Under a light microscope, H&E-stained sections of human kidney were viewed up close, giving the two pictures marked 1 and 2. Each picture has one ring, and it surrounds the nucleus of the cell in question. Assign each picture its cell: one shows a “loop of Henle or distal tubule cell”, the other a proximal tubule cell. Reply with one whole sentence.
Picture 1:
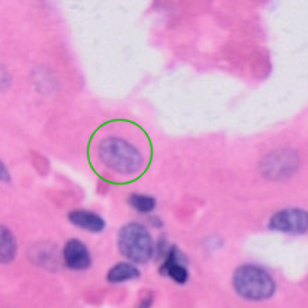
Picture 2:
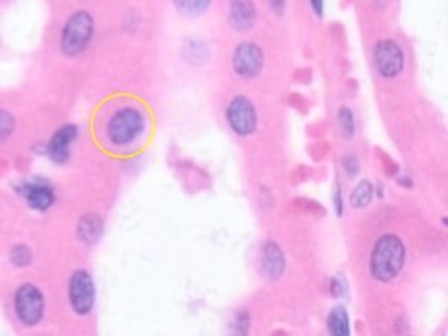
Picture 1 is of a proximal tubule cell, and picture 2 is of a “loop of Henle or distal tubule cell”.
